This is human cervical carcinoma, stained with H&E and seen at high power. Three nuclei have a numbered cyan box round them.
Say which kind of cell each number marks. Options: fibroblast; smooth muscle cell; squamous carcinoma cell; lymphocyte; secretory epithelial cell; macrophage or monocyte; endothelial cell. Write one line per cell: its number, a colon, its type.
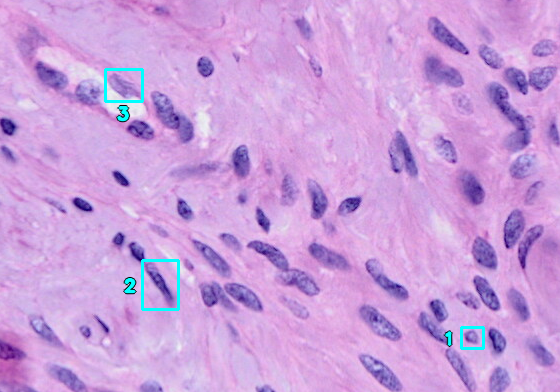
1: fibroblast
2: fibroblast
3: endothelial cell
